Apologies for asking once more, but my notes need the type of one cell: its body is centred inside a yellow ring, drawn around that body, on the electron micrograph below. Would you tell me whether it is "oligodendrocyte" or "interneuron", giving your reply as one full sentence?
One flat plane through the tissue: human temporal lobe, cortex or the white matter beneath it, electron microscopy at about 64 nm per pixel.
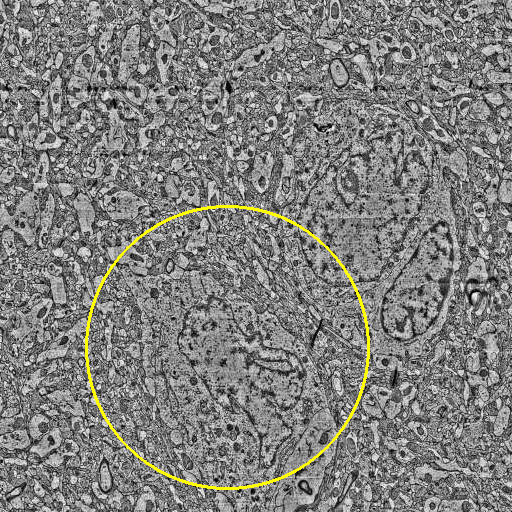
The cell that the yellow ring is centred on is an interneuron in this micrograph.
